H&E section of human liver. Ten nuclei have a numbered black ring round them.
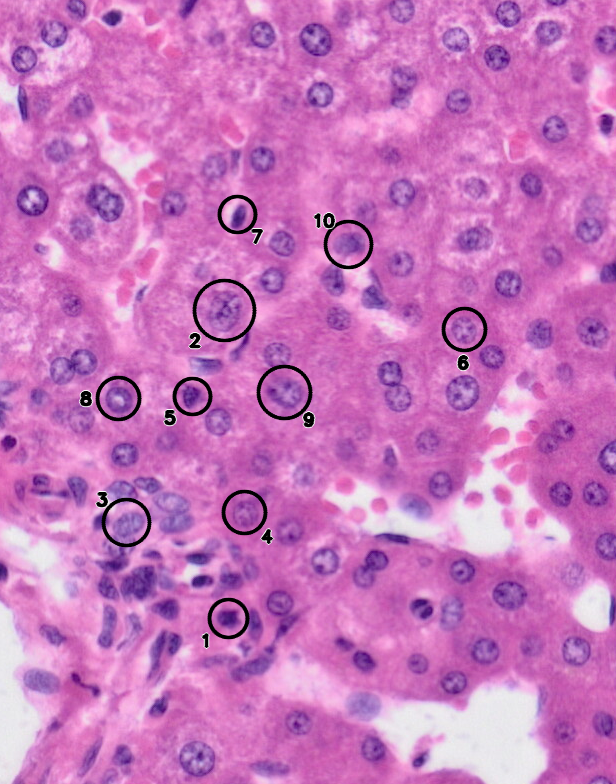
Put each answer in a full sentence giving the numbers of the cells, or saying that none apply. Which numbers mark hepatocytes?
In terms of cell type, cells 2, 4, 6, 8 and 9 are hepatocytes.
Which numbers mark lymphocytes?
Cell 7 is a lymphocyte, while all remaining marked cells are of other types.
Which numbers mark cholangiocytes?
Among the numbered cells, cell 3 alone is a cholangiocyte.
